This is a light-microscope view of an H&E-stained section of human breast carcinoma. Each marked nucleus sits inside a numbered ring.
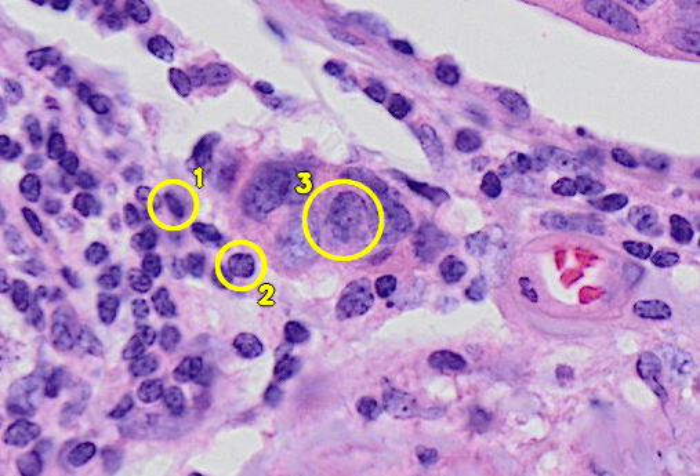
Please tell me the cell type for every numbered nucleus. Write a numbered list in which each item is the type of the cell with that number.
1. lymphocyte
2. lymphocyte
3. carcinoma cell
